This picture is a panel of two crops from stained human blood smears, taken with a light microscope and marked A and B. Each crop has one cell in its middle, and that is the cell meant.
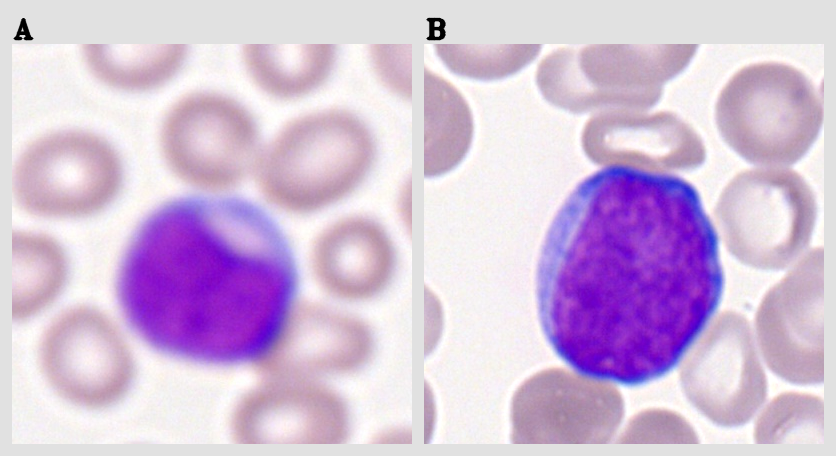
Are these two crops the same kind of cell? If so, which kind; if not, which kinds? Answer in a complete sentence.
Yes, the central cells in both of the crops are myeloblasts.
